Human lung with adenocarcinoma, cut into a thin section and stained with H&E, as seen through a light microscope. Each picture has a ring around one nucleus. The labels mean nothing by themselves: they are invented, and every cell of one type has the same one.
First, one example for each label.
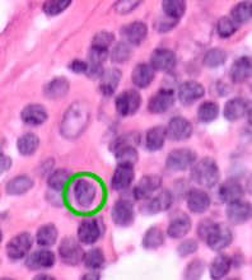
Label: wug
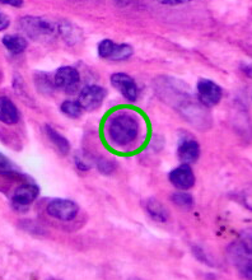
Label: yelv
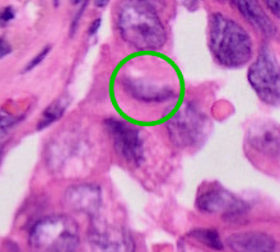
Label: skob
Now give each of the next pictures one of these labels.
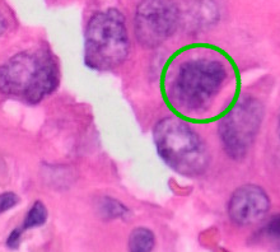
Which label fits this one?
skob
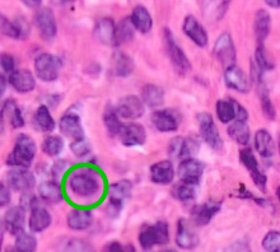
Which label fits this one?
wug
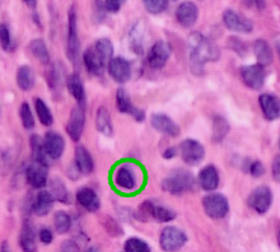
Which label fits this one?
wug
